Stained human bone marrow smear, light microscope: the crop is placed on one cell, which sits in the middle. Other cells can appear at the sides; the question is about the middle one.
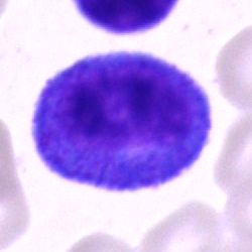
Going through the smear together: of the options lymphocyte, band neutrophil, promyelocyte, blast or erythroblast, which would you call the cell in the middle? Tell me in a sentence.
What the crop centres on is a promyelocyte.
